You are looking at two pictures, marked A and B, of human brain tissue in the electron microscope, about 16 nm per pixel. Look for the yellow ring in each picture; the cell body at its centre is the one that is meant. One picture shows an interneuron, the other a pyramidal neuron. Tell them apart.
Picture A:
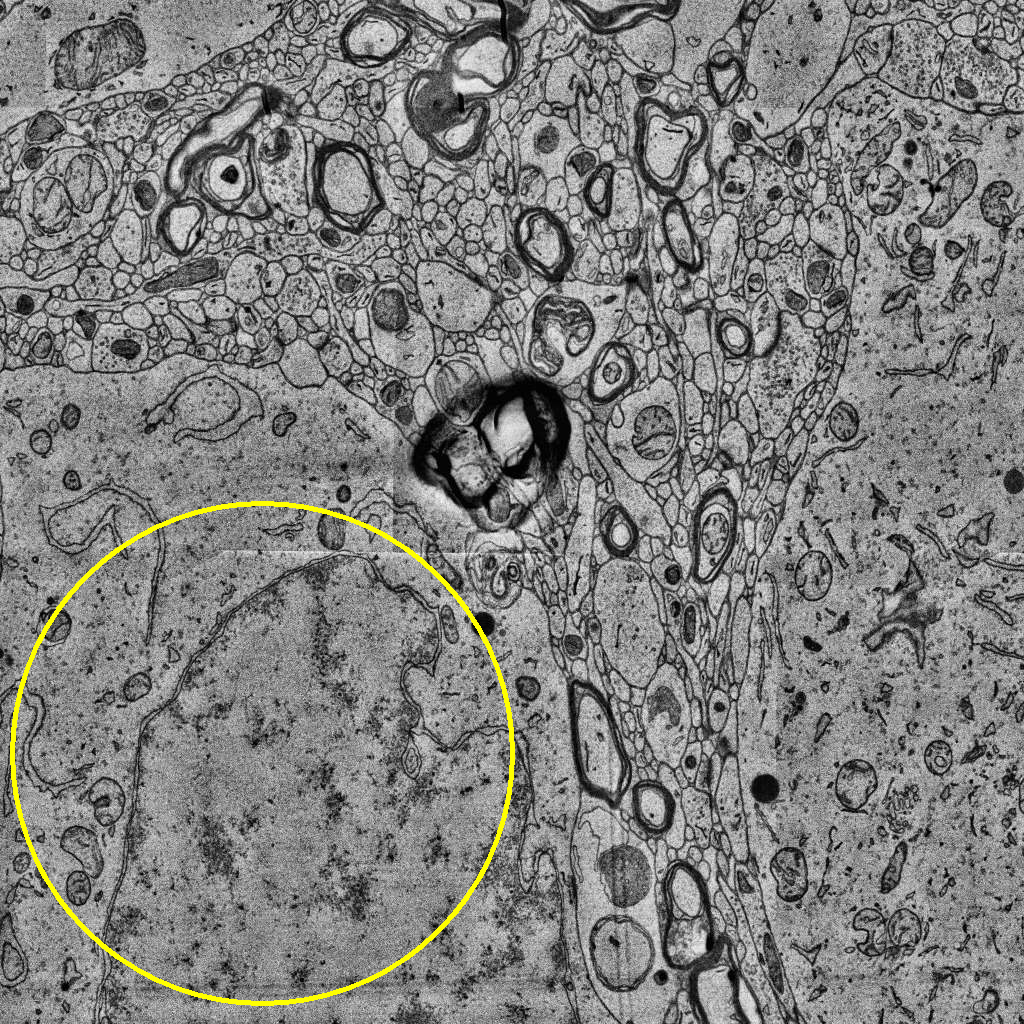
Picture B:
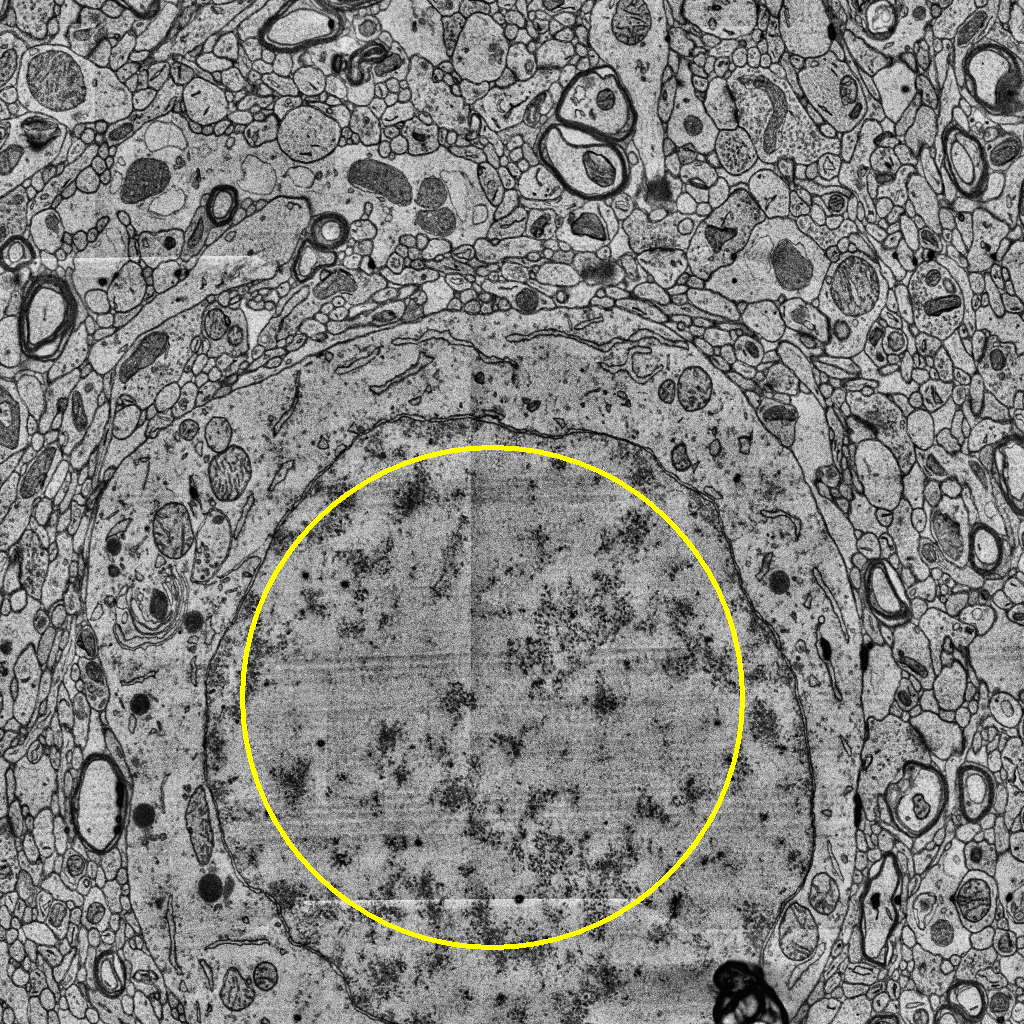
In picture A the cell is an interneuron; in picture B, a pyramidal neuron.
